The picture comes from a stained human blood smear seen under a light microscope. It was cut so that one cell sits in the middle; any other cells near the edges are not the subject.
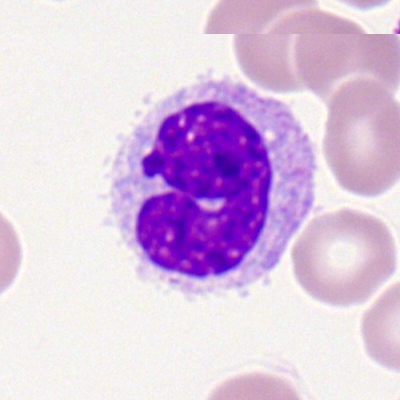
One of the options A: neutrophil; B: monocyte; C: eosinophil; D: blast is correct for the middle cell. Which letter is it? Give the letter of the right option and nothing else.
B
